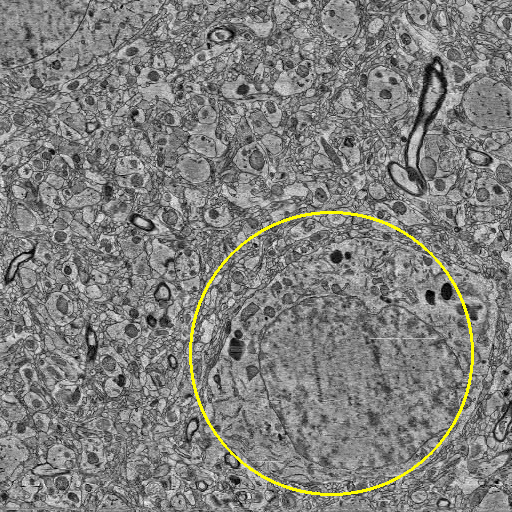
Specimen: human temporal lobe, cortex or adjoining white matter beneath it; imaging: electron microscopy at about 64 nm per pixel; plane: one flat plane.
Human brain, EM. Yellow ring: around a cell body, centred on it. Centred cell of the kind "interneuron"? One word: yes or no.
yes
